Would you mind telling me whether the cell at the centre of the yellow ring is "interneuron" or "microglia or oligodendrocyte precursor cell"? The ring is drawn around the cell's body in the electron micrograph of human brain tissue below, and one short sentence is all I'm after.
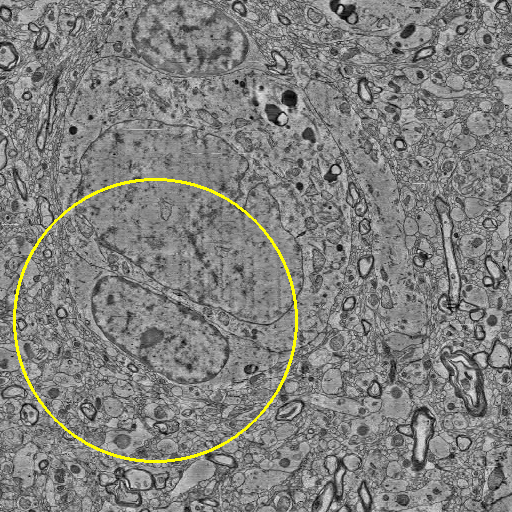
In the centre of the ring lies a microglial cell or oligodendrocyte precursor cell.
